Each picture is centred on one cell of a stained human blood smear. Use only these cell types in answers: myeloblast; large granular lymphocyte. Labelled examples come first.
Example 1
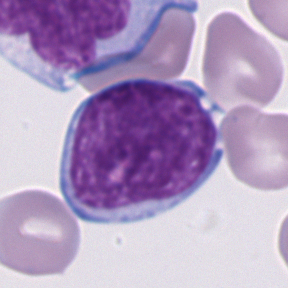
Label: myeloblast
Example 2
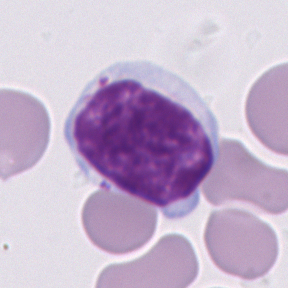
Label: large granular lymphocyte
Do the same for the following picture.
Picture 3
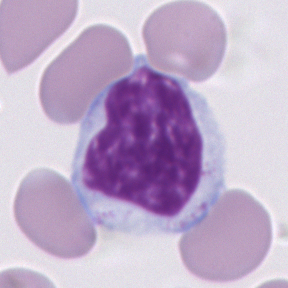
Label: large granular lymphocyte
